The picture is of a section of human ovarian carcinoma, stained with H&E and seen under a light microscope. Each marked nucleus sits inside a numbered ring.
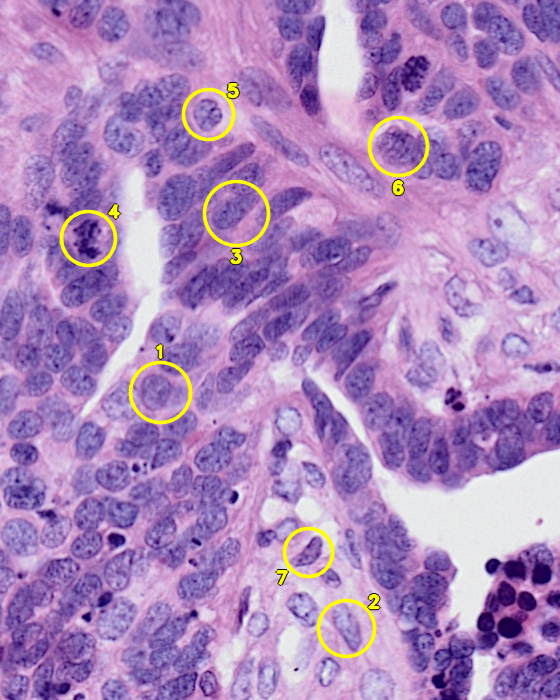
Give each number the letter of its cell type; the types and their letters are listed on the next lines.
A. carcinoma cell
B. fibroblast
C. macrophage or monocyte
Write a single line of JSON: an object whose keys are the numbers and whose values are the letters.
{"1": "A", "2": "B", "3": "A", "4": "A", "5": "C", "6": "A", "7": "C"}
